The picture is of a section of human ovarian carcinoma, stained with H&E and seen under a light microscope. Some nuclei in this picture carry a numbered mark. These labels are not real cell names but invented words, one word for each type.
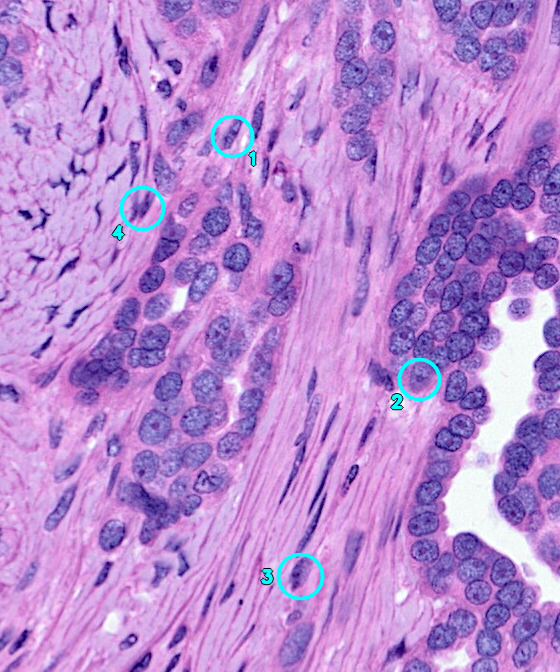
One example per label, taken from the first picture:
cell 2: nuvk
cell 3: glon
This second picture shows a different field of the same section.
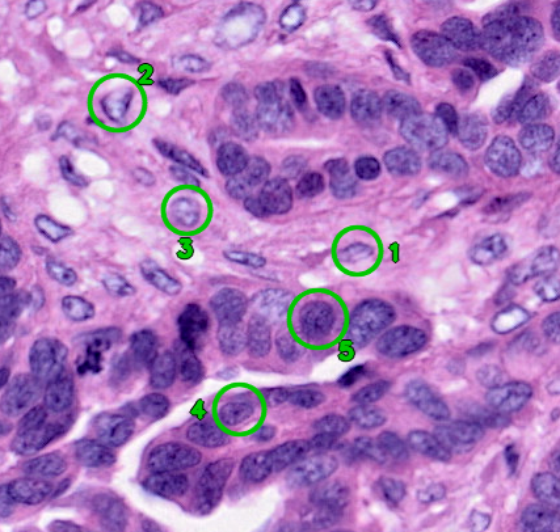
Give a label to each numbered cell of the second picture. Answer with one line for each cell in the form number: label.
1: glon
2: glon
3: glon
4: nuvk
5: nuvk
